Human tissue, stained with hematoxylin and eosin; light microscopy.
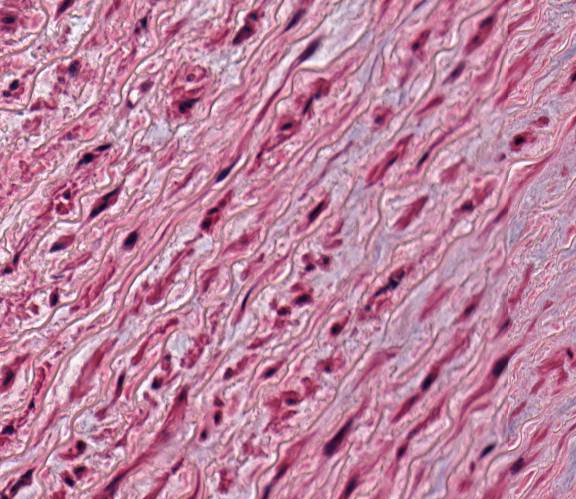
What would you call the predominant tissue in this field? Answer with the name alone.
tunica media of an artery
